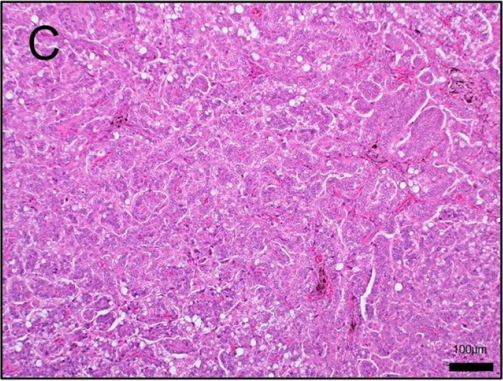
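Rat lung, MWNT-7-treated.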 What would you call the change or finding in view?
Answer: Glandular growth pattern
